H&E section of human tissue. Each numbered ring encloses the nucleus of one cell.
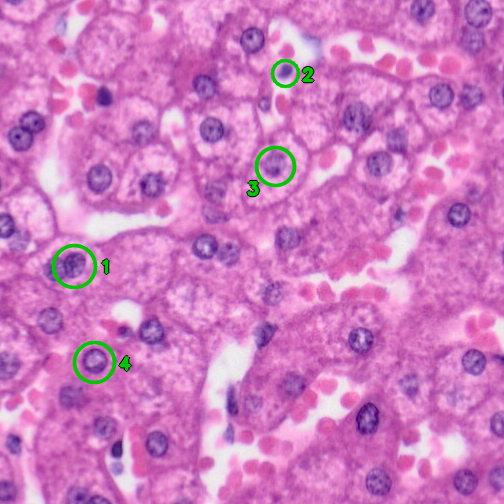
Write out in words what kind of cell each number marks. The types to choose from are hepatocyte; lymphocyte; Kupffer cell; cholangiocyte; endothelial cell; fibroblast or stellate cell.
Cells 1, 3 and 4 are hepatocytes. Cell 2 is a lymphocyte.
